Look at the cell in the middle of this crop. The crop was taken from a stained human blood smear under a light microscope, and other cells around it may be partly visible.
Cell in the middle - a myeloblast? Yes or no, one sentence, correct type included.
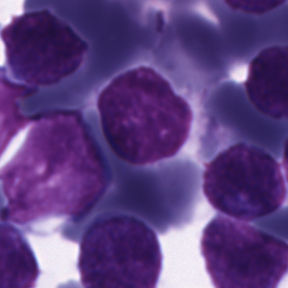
Yes, the cell right in the middle is a myeloblast.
